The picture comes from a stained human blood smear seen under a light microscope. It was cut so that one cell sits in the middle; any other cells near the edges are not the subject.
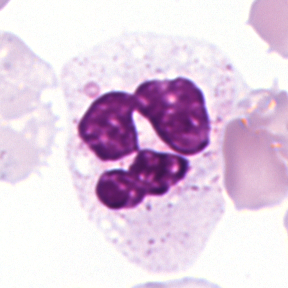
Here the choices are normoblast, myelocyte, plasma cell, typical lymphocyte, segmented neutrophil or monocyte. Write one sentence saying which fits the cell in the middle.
Of the cells in this crop, the central one is a segmented neutrophil.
